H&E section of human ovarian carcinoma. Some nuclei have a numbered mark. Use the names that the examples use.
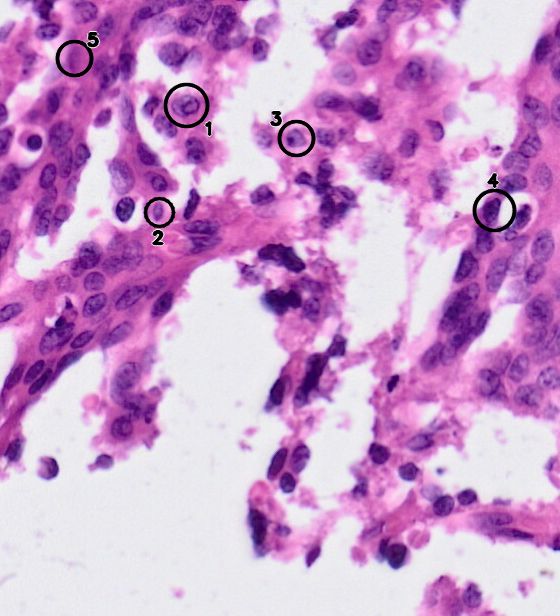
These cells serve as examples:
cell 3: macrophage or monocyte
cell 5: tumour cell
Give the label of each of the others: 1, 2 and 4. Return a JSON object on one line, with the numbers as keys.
{"1": "macrophage or monocyte", "2": "macrophage or monocyte", "4": "tumour cell"}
